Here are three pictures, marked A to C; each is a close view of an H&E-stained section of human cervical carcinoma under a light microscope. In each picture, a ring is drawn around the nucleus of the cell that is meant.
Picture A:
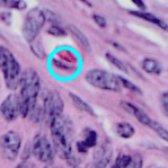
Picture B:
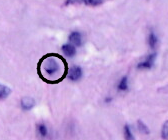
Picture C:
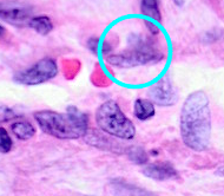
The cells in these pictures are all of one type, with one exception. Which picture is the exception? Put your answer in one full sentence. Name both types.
All pictures except B show endothelial cells; picture B shows a fibroblast.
